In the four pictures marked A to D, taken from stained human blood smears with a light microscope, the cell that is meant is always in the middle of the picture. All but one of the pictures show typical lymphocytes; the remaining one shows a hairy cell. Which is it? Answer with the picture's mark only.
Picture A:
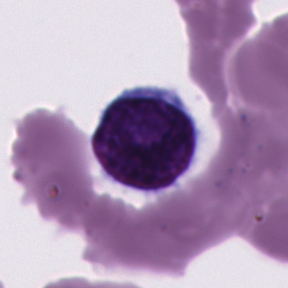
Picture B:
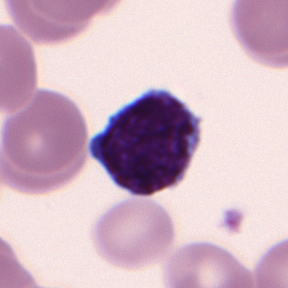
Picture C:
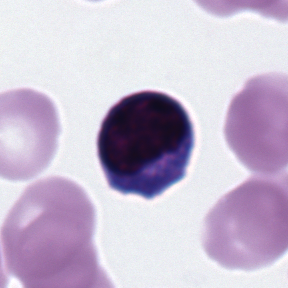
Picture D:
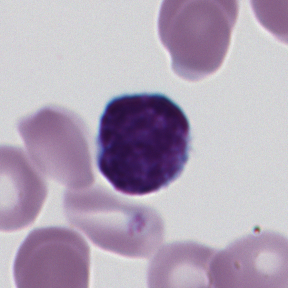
A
